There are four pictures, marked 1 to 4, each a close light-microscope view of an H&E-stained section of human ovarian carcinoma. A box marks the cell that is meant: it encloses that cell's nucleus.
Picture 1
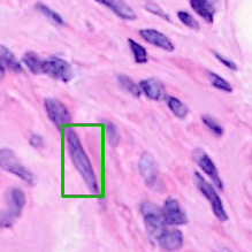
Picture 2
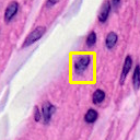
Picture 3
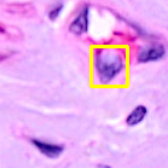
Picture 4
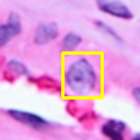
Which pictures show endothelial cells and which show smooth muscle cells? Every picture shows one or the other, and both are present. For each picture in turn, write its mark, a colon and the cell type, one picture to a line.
1: smooth muscle cell
2: smooth muscle cell
3: endothelial cell
4: endothelial cell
